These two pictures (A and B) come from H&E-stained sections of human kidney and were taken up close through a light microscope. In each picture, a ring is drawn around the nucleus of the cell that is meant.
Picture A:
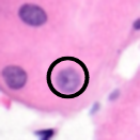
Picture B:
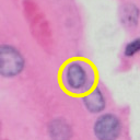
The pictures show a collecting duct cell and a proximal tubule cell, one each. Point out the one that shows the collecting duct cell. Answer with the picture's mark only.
B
